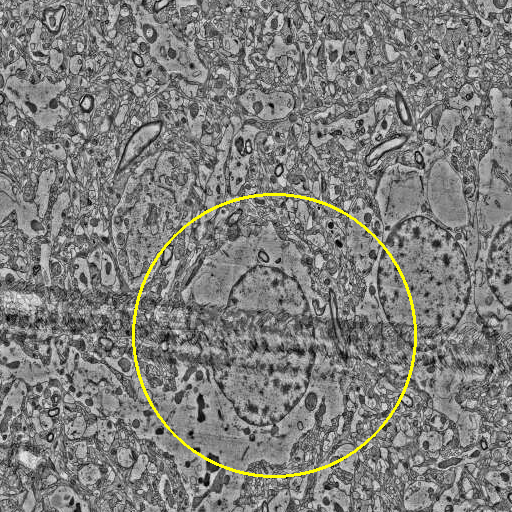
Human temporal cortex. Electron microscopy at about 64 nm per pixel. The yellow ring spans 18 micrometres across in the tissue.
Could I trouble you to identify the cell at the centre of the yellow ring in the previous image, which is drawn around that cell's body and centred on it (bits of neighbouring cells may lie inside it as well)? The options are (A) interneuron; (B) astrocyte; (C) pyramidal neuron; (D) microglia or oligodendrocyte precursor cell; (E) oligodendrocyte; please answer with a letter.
B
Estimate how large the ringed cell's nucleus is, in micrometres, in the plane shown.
The nucleus measures about 10 by 6 micrometres in this plane.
